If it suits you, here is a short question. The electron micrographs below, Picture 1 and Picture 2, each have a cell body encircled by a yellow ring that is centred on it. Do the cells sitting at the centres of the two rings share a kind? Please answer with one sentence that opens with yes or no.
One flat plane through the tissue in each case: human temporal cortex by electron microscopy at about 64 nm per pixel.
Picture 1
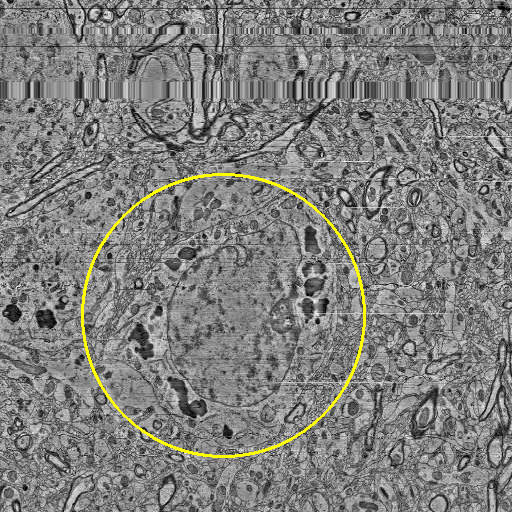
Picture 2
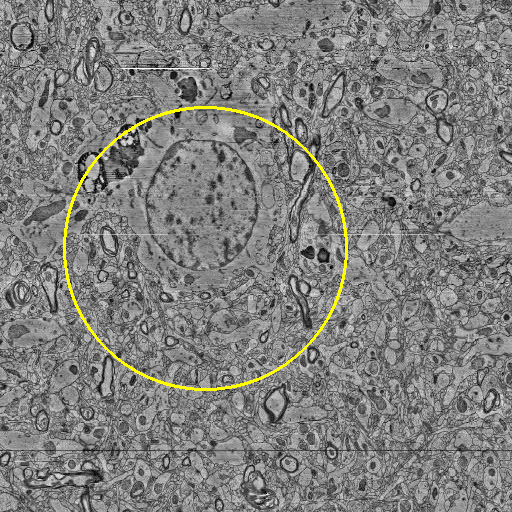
No, the two cells sitting at the ring centres fall into two kinds.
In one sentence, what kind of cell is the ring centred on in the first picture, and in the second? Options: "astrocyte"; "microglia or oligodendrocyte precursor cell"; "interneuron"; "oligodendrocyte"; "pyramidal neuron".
The cell at the centre of the second ring is an astrocyte; the first ring's cell is an interneuron.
